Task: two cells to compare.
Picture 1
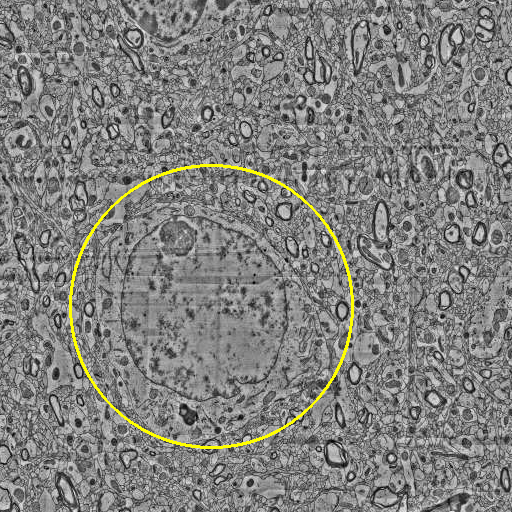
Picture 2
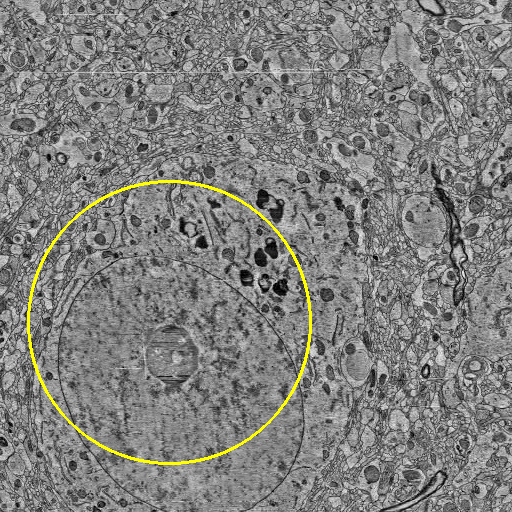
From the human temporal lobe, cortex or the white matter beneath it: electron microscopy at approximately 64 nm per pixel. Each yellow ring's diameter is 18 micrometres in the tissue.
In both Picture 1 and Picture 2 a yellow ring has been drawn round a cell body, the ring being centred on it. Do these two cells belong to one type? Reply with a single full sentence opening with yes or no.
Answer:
Yes, the two cells at the ring centres in Picture 1 and Picture 2 share one type.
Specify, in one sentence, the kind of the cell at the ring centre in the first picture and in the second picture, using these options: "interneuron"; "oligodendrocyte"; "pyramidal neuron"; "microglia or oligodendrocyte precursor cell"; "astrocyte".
In each picture the ringed cell is a pyramidal neuron.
